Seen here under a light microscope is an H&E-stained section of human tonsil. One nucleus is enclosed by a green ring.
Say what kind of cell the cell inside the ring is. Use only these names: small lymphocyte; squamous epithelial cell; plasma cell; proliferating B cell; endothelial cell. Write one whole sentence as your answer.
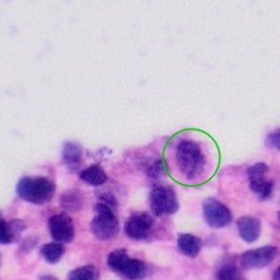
In this tissue sample, the cell inside the ring is a proliferating B cell.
